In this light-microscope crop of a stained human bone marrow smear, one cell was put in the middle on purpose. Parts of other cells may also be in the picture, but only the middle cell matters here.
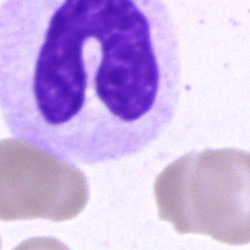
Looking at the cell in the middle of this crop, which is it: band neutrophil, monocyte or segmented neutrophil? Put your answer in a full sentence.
The cell at the middle of the crop is recognized as a band neutrophil.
